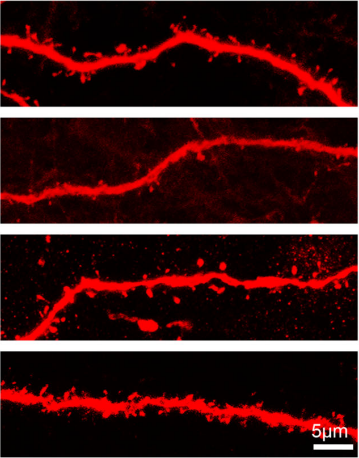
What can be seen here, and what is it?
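Along both sides of each shaft small protrusions stand out: these are the dendritic spines. Some spines are short and stubby, others are longer and thinner, and some end in a rounded head on a narrow neck. The number of protrusions along a stretch of shaft differs between the strips, with some segments looking smoother and others densely studded. The shafts themselves are of fairly even width and wind gently across the field.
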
